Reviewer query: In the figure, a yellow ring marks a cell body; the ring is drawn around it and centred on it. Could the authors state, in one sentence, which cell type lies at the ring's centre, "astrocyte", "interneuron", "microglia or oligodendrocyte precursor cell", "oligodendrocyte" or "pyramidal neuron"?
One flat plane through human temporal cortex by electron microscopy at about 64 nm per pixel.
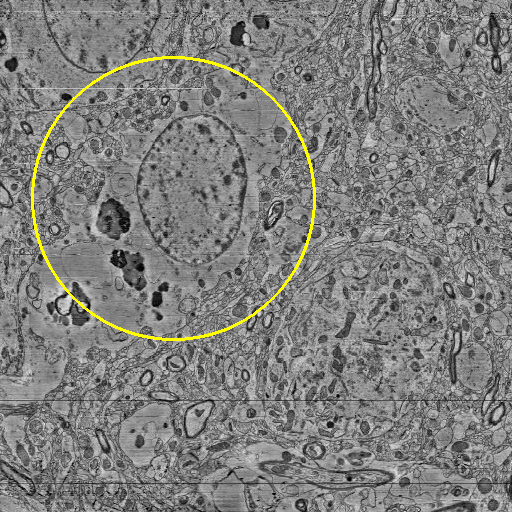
The ring is centred on an astrocyte.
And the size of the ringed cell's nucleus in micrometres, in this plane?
In this plane, about 10 micrometres in length and 7 in width.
